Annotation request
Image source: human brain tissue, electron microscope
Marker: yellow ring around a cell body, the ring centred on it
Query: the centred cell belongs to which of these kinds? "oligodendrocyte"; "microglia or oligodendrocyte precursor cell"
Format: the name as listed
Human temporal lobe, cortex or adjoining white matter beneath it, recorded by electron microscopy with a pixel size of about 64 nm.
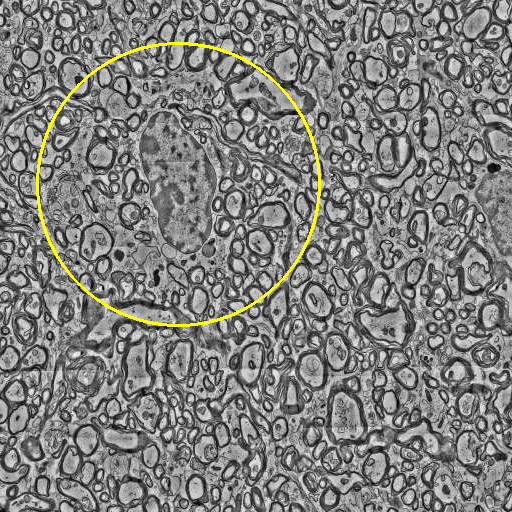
microglia or oligodendrocyte precursor cell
